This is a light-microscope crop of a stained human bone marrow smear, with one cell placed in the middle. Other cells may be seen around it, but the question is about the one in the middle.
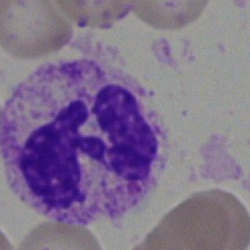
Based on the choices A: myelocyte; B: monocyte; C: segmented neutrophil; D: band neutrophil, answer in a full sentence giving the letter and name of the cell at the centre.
The correct identification, given in option C, is that the central cell is a segmented neutrophil.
